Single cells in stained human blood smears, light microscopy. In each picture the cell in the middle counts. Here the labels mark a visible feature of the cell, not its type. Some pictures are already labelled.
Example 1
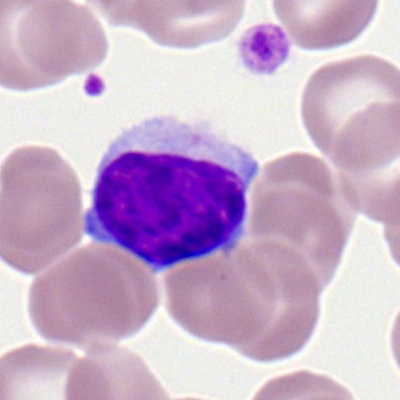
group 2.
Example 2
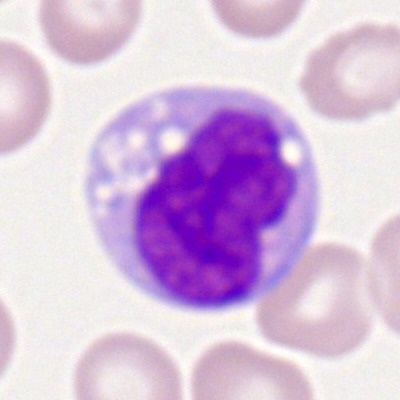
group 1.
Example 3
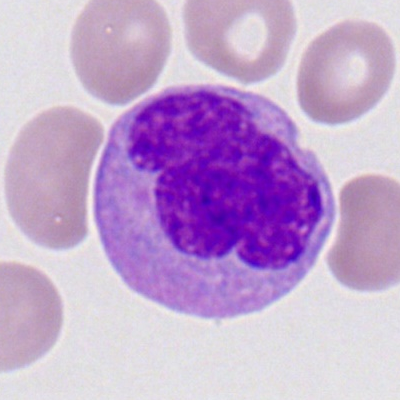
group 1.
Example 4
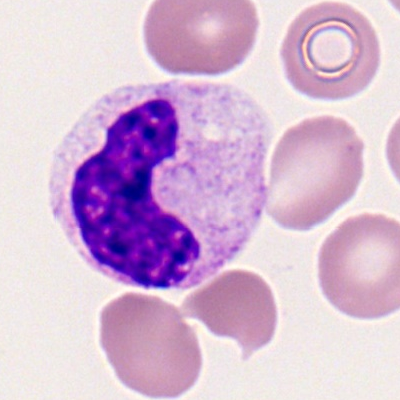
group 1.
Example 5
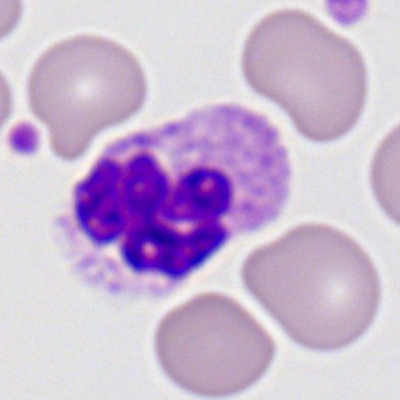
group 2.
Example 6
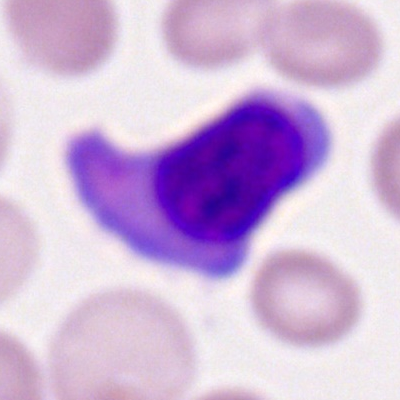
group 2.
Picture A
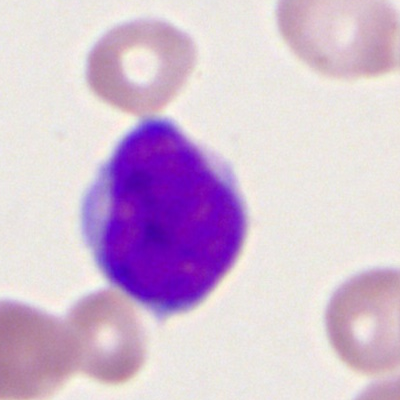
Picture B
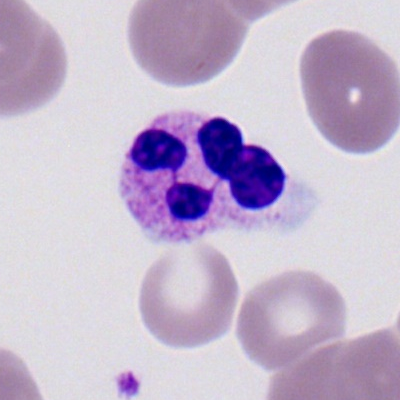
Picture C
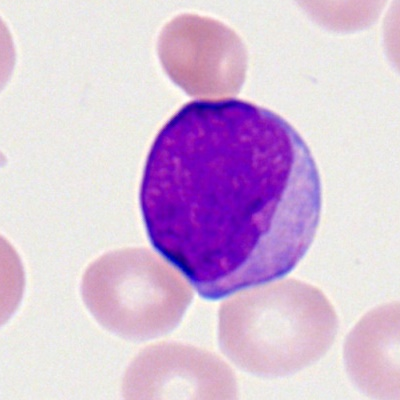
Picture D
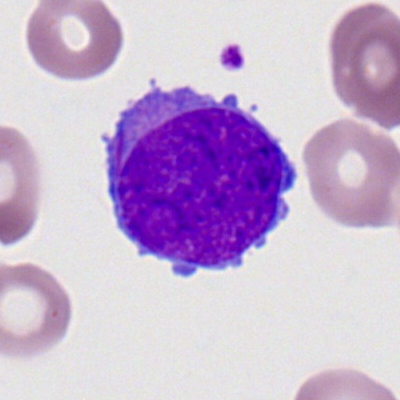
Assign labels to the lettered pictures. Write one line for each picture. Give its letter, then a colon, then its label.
A: group 2.
B: group 2.
C: group 1.
D: group 2.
